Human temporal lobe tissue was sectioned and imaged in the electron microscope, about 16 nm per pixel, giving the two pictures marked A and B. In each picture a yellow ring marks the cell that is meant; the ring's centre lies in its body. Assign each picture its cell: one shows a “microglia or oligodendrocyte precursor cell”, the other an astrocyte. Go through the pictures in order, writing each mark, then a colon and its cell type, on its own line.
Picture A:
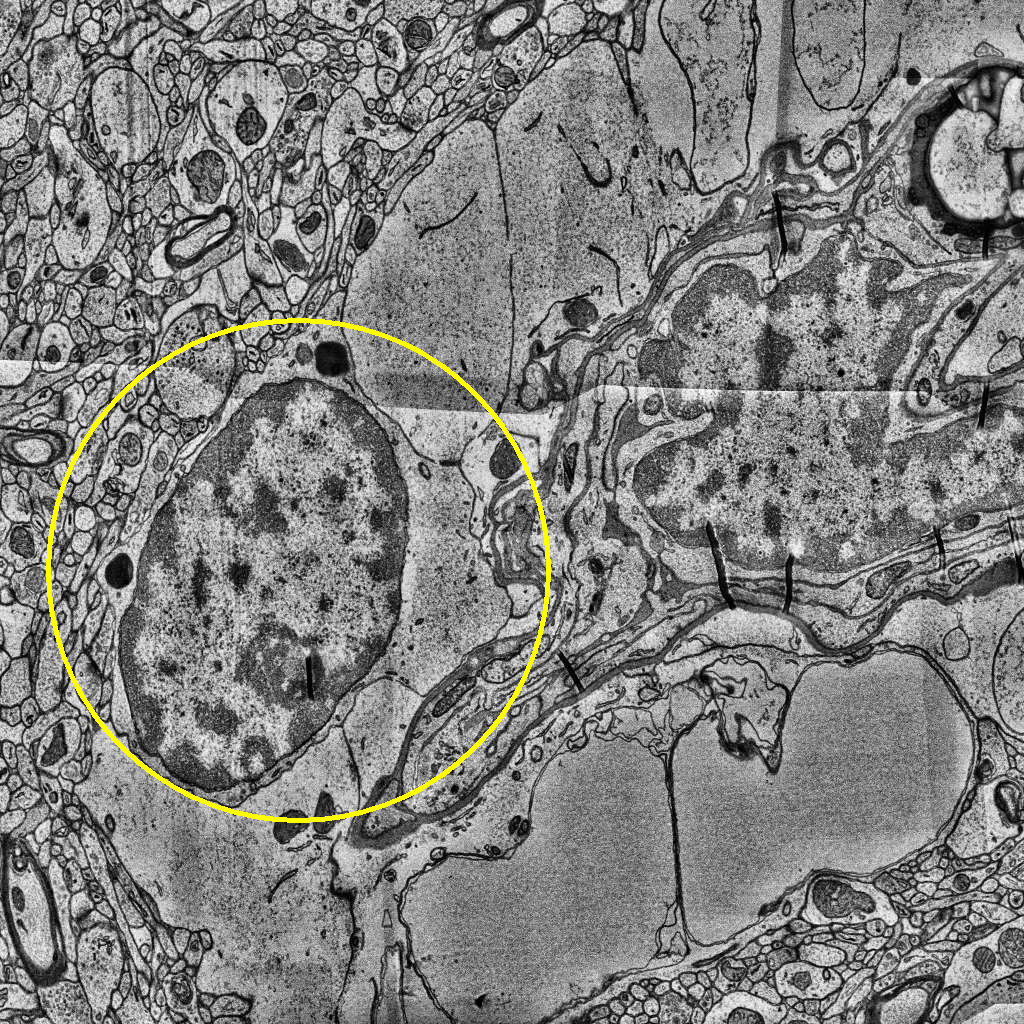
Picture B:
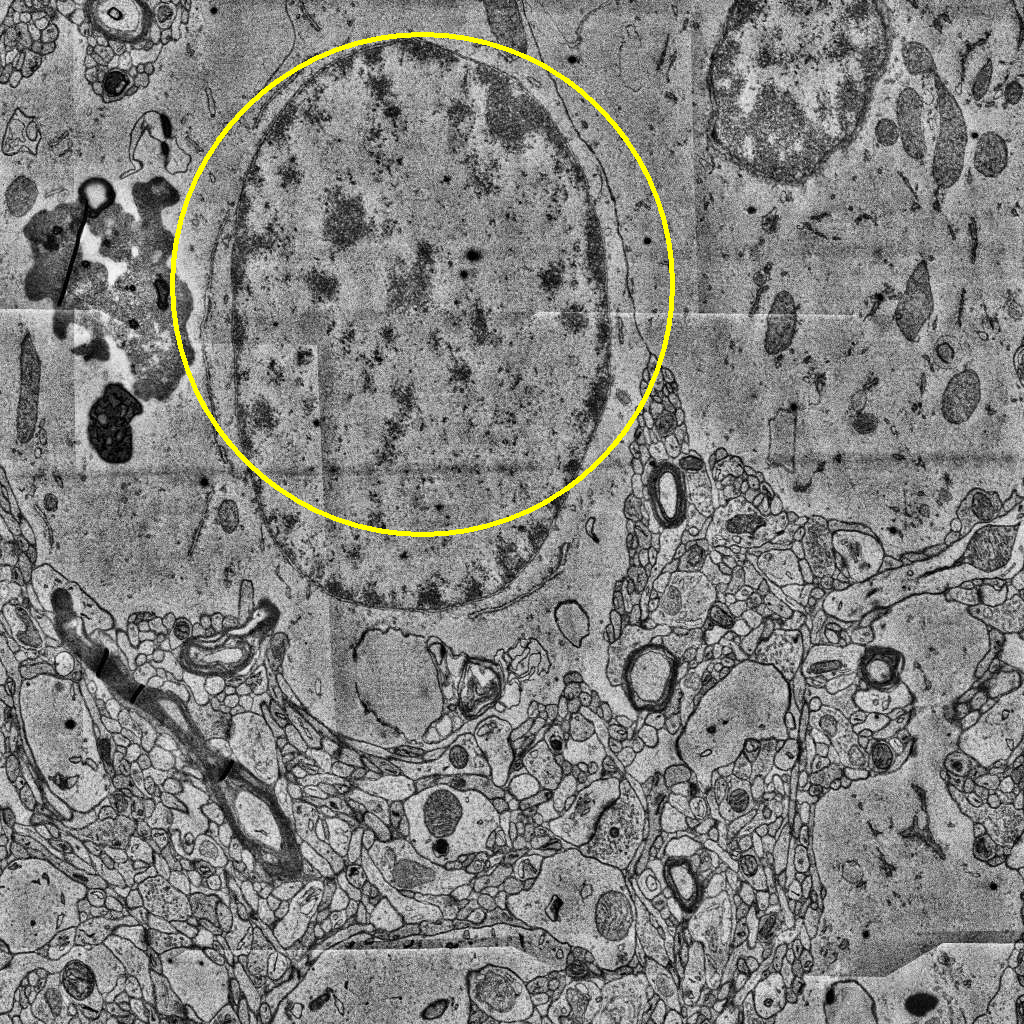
A: microglia or oligodendrocyte precursor cell
B: astrocyte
